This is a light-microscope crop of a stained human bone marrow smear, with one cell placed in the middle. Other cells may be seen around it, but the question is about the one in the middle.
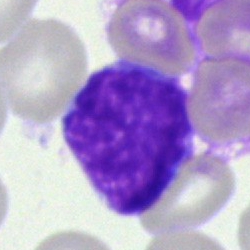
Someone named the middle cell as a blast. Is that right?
yes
